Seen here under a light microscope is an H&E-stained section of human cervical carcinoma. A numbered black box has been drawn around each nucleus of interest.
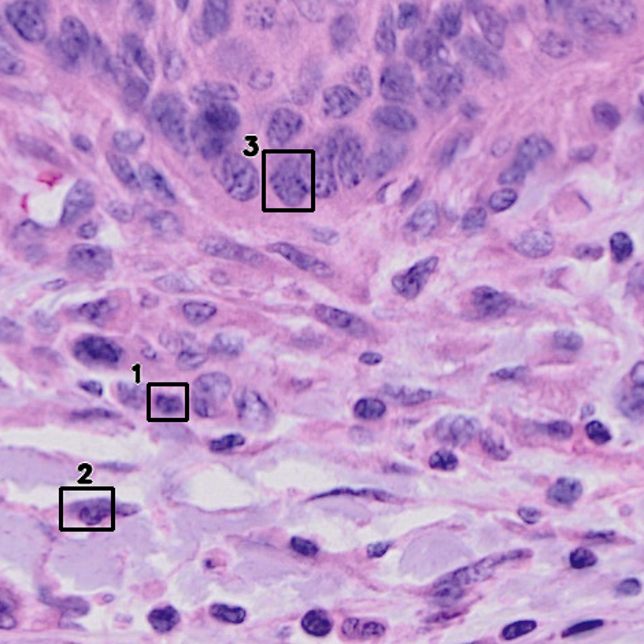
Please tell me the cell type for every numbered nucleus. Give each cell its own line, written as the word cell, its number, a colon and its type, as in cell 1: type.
cell 1: lymphocyte
cell 2: macrophage or monocyte
cell 3: squamous carcinoma cell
